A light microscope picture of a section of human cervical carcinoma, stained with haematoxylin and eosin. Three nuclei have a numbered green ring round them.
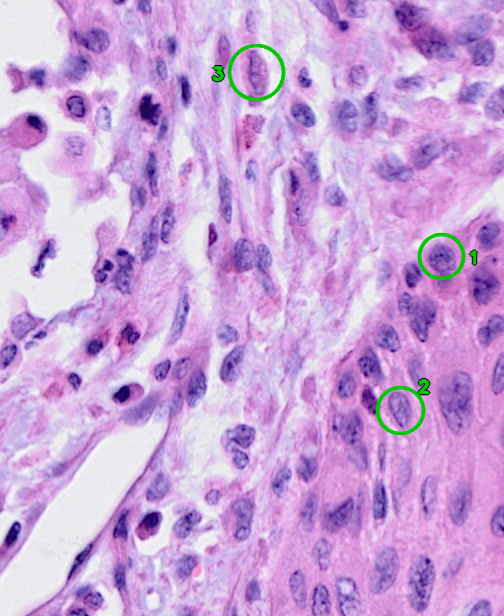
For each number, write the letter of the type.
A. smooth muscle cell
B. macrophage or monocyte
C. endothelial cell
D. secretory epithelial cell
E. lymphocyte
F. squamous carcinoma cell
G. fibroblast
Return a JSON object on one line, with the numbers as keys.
{"1": "F", "2": "F", "3": "B"}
